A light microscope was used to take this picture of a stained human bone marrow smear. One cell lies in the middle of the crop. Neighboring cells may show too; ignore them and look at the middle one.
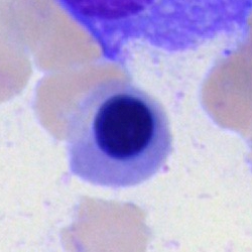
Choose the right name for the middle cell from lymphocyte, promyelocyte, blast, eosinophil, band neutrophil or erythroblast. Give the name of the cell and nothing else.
erythroblast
